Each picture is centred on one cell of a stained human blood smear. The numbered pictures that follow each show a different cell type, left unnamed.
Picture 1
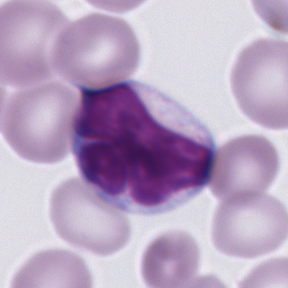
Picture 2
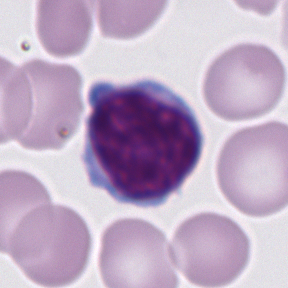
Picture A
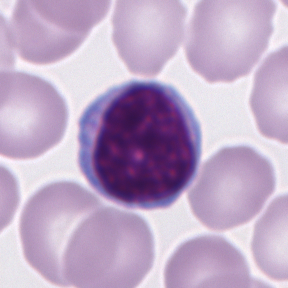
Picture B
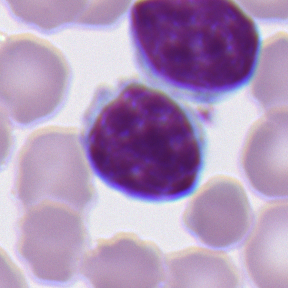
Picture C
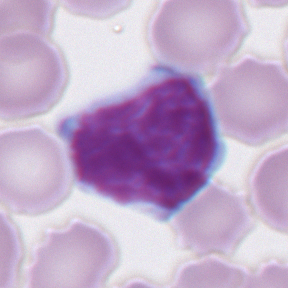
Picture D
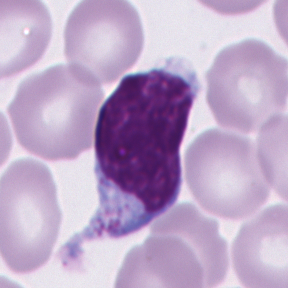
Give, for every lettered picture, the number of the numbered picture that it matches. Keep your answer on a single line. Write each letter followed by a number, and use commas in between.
A 2, B 2, C 2, D 1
